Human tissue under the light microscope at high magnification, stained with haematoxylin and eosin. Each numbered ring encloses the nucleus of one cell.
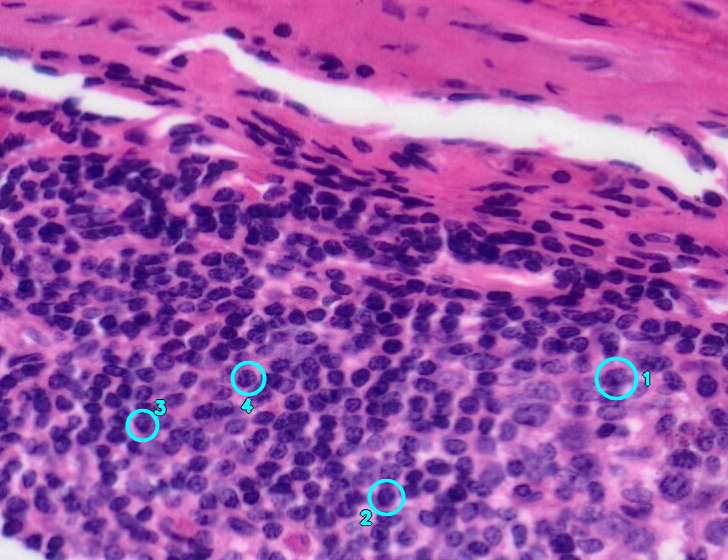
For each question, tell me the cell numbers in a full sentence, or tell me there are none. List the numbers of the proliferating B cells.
It is only cell 1 that is a proliferating B cell among the numbered cells.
